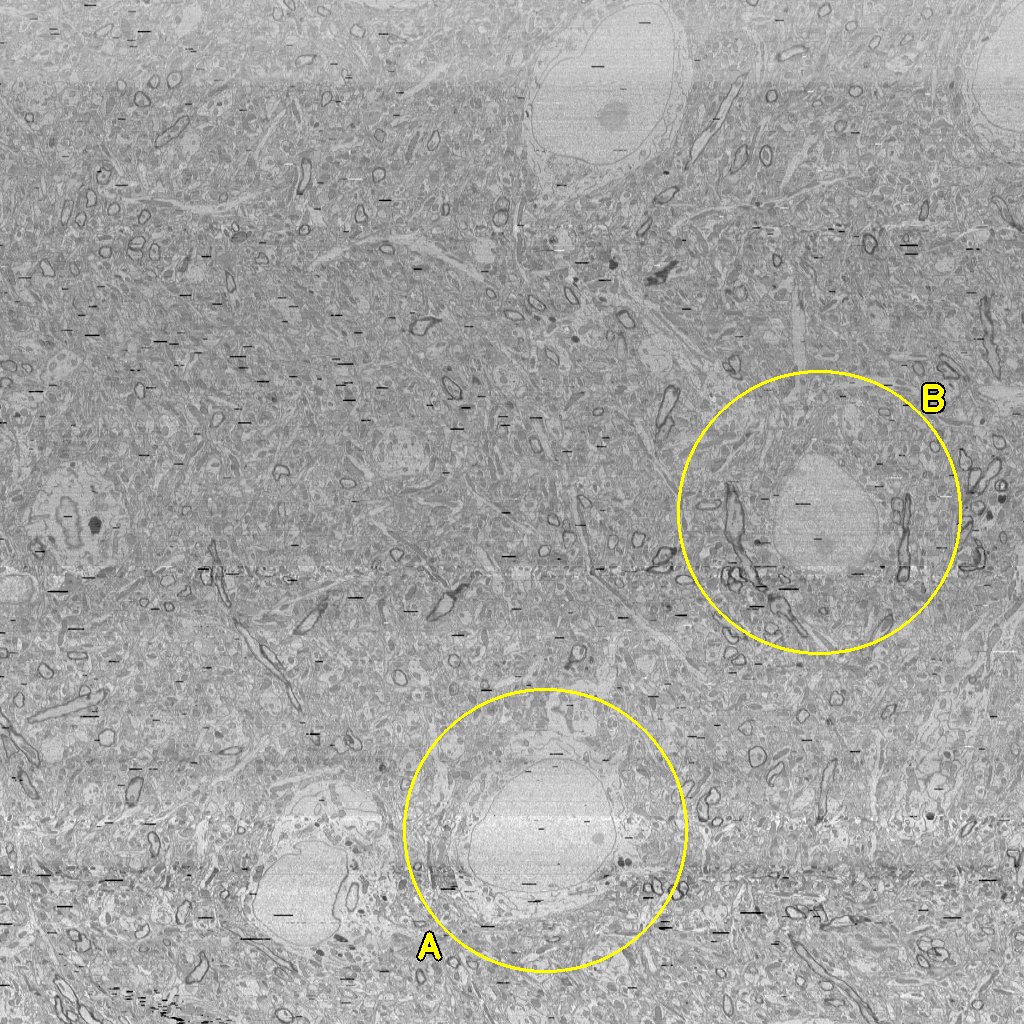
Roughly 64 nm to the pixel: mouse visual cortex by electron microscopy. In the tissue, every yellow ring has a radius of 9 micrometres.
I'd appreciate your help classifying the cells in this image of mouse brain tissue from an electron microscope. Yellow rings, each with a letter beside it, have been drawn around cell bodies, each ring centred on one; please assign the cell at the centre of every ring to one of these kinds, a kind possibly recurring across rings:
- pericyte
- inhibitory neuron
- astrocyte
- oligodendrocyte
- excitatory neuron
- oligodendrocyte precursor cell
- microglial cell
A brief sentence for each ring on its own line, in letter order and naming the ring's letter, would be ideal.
In ring A, the central cell is an excitatory neuron.
In ring B, the central cell is an astrocyte.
